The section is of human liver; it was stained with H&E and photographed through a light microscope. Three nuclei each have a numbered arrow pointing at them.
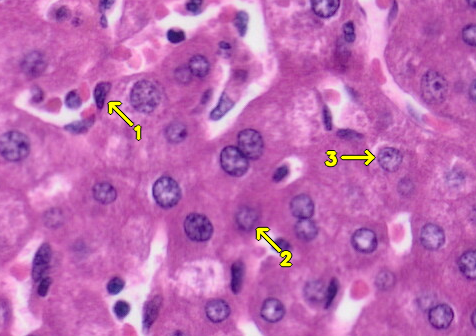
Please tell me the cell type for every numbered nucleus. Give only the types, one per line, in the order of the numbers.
fibroblast or stellate cell
hepatocyte
hepatocyte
